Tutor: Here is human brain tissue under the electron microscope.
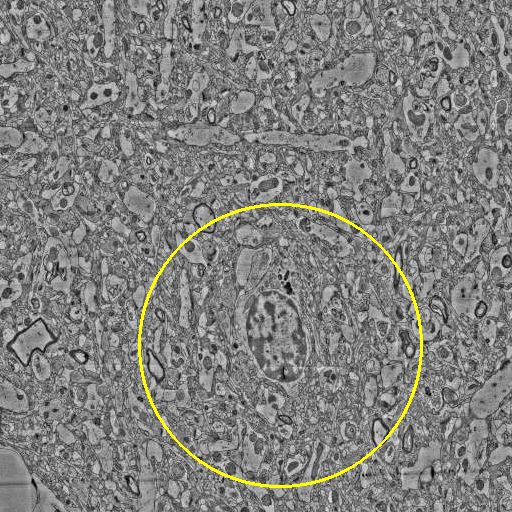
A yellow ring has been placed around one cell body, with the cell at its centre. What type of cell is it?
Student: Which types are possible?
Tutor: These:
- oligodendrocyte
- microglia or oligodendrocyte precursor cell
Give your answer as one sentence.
What the ring picks out here is a microglial cell or oligodendrocyte precursor cell.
